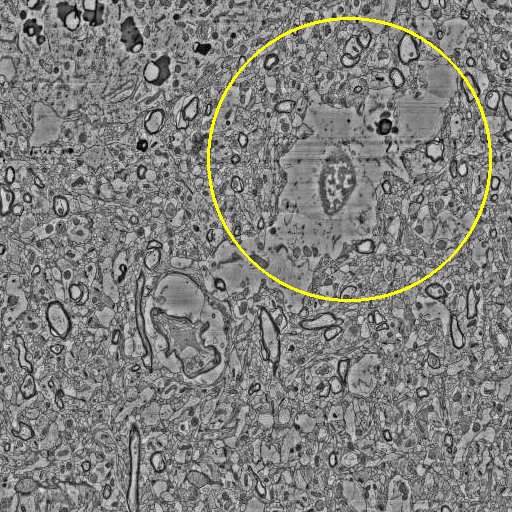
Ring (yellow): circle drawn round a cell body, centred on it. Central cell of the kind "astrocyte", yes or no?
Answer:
yes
